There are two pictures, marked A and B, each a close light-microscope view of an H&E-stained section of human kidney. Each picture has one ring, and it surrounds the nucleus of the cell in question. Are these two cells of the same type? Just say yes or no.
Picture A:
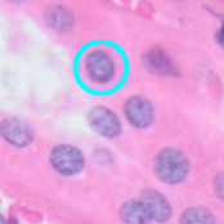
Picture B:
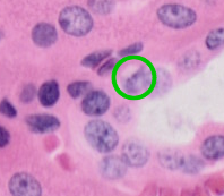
no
